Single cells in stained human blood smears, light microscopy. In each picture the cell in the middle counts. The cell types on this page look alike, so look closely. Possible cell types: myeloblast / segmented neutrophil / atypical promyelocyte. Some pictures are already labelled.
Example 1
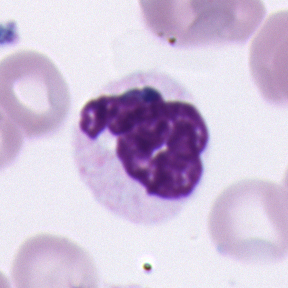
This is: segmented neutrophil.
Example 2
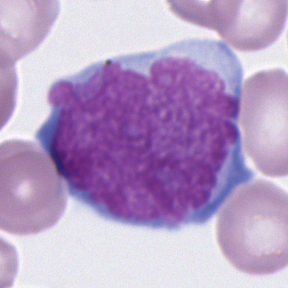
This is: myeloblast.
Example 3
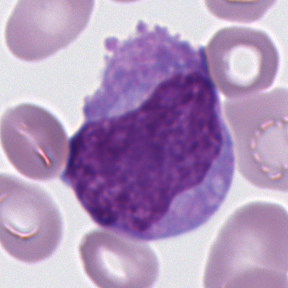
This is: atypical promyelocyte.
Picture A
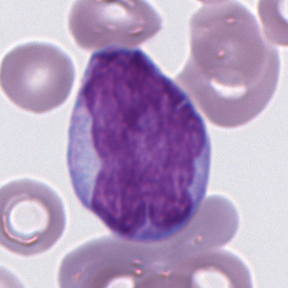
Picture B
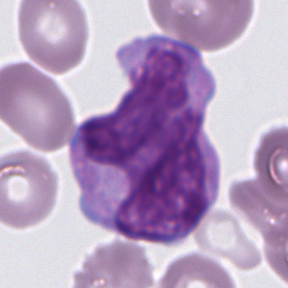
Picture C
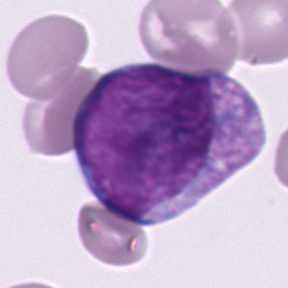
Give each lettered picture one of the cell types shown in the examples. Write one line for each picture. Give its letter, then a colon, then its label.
A: atypical promyelocyte.
B: atypical promyelocyte.
C: atypical promyelocyte.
